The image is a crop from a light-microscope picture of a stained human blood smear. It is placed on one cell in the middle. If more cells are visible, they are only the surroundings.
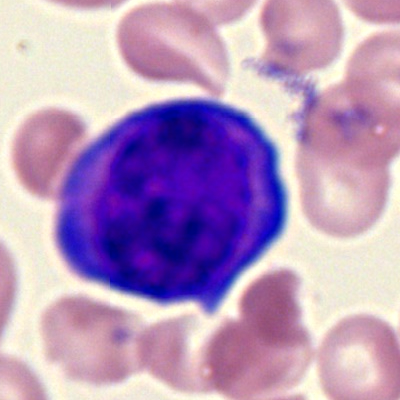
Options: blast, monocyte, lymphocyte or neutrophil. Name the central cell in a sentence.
Classified as a blast is the cell in the middle of this crop.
